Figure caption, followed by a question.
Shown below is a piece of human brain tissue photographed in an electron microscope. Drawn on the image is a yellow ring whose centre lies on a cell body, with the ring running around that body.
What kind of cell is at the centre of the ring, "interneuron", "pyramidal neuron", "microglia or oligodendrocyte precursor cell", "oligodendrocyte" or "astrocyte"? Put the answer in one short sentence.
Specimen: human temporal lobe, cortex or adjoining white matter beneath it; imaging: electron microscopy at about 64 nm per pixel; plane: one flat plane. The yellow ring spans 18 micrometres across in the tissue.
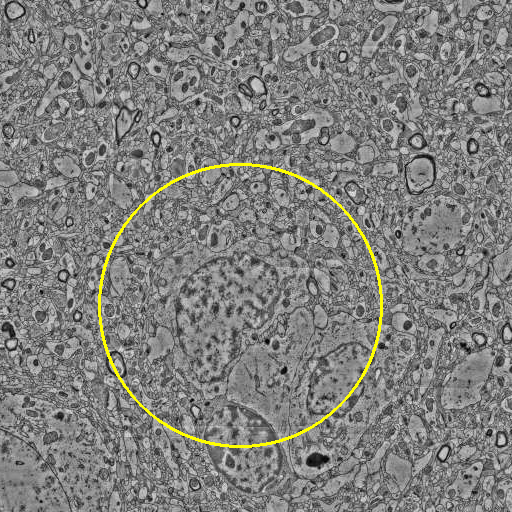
The ring marks the cell body of an interneuron.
